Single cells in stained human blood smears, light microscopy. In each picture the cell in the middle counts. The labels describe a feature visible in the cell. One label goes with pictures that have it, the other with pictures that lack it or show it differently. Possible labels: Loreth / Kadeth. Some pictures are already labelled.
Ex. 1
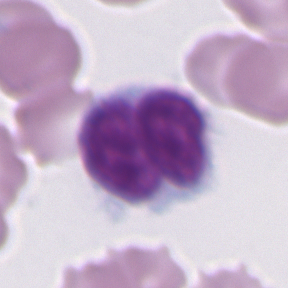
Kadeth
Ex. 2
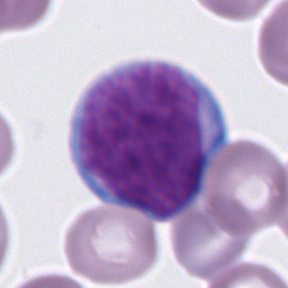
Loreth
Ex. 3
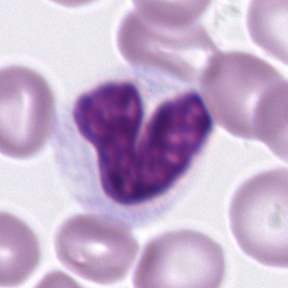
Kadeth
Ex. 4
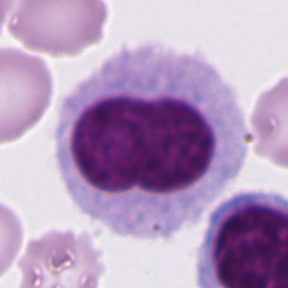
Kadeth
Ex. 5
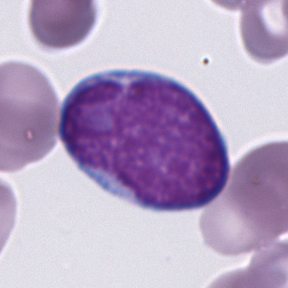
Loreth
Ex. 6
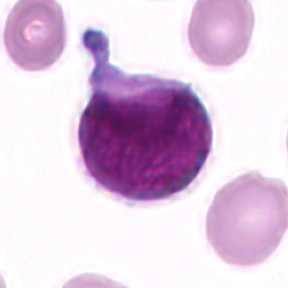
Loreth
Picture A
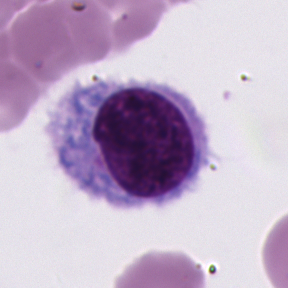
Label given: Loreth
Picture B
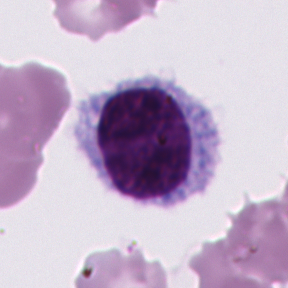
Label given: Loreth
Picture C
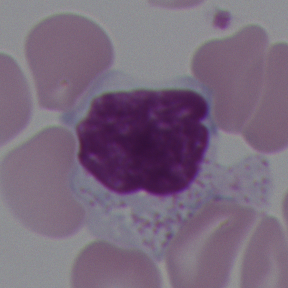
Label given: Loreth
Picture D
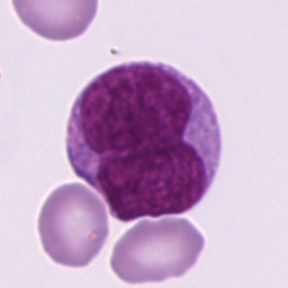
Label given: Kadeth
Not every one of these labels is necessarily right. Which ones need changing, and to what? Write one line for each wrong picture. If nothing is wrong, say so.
None of the labels needs changing.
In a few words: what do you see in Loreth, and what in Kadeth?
Loreth, single compact nucleus; Kadeth, lobed nucleus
